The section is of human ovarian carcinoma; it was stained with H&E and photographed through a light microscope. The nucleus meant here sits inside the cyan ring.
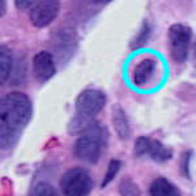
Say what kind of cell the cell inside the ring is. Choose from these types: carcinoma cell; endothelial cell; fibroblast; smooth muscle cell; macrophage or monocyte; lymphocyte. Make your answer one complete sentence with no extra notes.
On this particular slide, the cell inside the ring is a macrophage or monocyte.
